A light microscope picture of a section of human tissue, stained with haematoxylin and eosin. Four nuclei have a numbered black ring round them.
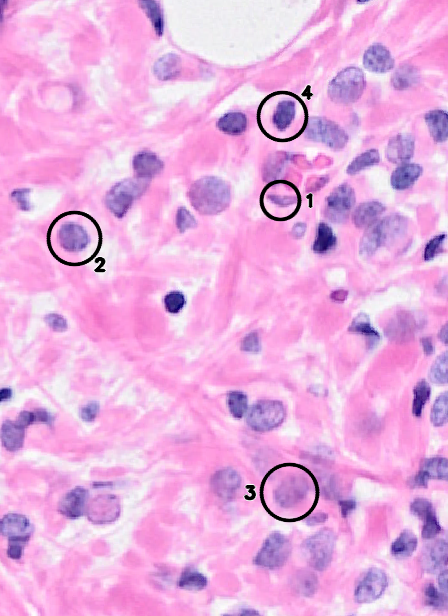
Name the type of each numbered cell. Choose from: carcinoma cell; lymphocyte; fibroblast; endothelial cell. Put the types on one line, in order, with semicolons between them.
endothelial cell; carcinoma cell; carcinoma cell; lymphocyte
